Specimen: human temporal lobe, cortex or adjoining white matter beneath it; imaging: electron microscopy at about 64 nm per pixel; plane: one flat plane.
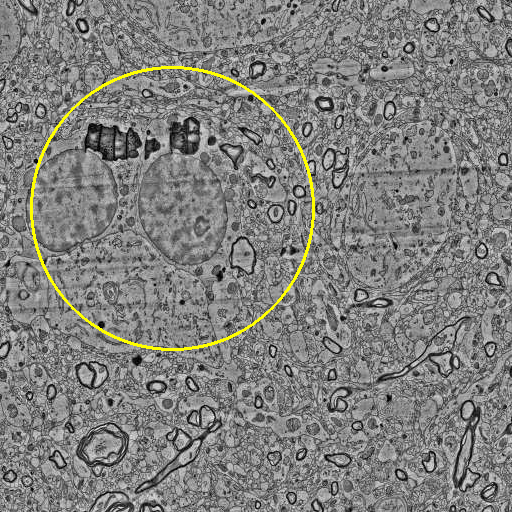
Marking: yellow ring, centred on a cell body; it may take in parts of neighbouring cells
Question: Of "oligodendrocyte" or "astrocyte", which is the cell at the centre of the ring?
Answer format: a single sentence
The ring surrounds the body of an oligodendrocyte.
